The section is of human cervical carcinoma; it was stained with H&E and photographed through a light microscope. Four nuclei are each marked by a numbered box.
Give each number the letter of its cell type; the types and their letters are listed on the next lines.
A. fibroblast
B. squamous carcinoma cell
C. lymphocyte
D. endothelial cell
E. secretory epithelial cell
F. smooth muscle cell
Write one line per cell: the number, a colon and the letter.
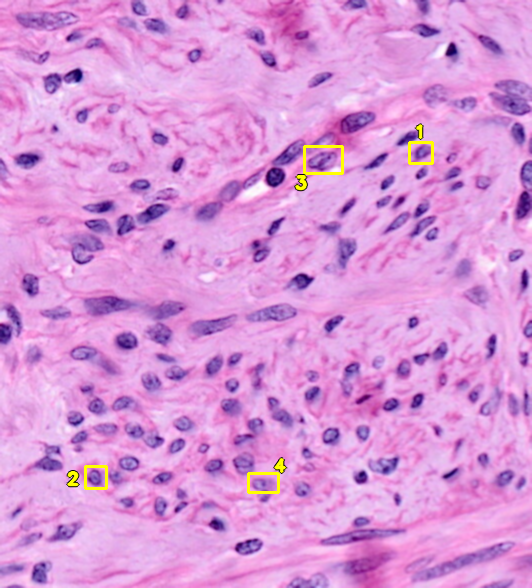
1: F
2: F
3: D
4: F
